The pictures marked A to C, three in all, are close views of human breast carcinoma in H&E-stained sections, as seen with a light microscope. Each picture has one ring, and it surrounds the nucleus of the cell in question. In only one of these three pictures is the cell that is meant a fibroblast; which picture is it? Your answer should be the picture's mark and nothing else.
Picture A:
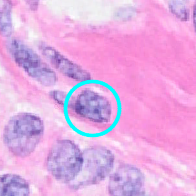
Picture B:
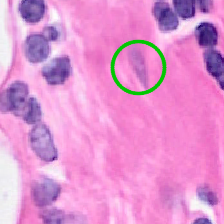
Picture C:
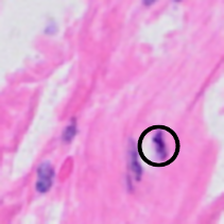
B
